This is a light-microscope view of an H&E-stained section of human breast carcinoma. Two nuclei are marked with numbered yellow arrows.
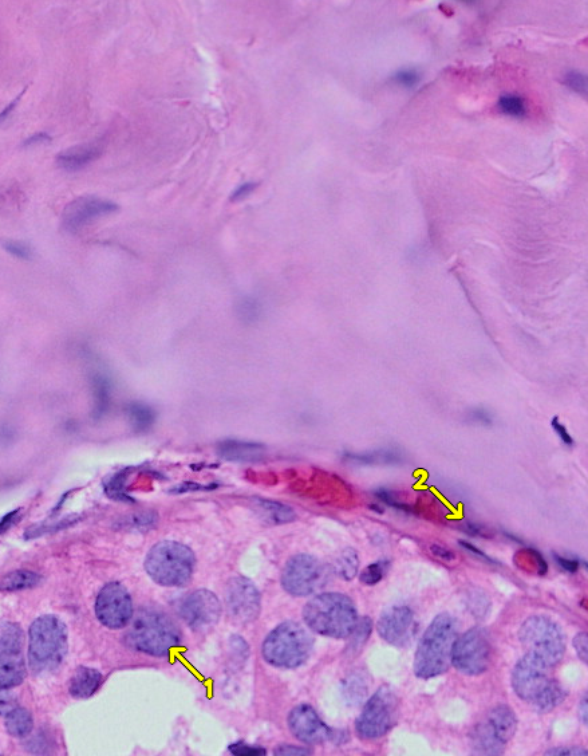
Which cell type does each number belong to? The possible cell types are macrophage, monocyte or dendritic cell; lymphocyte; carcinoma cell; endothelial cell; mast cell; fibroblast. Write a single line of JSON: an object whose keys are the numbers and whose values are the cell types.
{"1": "carcinoma cell", "2": "endothelial cell"}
